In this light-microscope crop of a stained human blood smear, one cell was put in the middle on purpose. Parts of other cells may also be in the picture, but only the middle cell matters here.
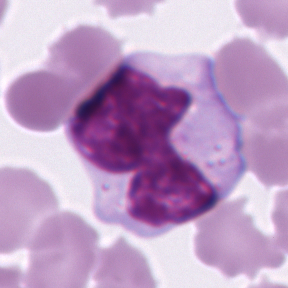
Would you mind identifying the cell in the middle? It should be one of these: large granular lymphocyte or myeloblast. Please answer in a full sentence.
Located at the centre of the crop is a large granular lymphocyte.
